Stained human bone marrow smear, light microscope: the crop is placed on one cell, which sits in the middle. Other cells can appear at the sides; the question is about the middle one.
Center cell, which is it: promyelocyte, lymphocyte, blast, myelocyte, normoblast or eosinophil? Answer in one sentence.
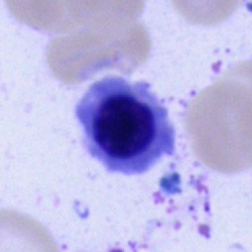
Centrally within this crop lies a normoblast.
